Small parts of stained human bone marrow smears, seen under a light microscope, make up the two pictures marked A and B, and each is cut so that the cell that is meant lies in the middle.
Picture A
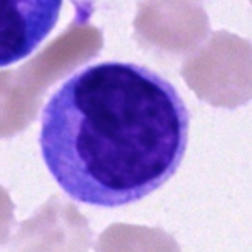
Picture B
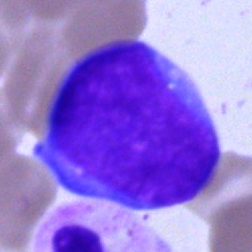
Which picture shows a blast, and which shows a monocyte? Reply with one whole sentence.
Picture A shows a monocyte and picture B shows a blast.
